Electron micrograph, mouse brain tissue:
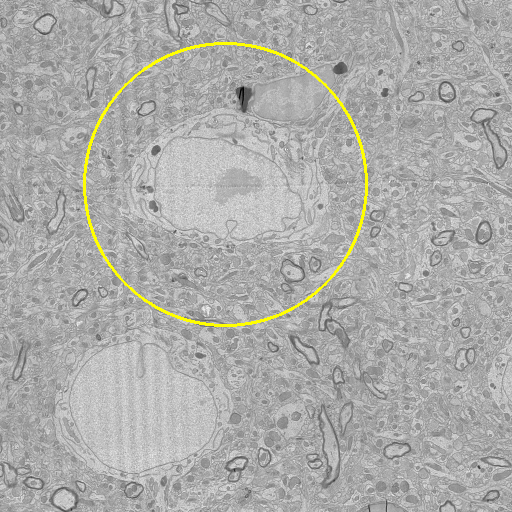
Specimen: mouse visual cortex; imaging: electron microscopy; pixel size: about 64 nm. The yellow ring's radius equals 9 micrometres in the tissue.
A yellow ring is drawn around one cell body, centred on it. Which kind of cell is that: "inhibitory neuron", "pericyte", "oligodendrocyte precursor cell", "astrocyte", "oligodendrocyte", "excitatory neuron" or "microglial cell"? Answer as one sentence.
It is an inhibitory neuron at the centre of the ring.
